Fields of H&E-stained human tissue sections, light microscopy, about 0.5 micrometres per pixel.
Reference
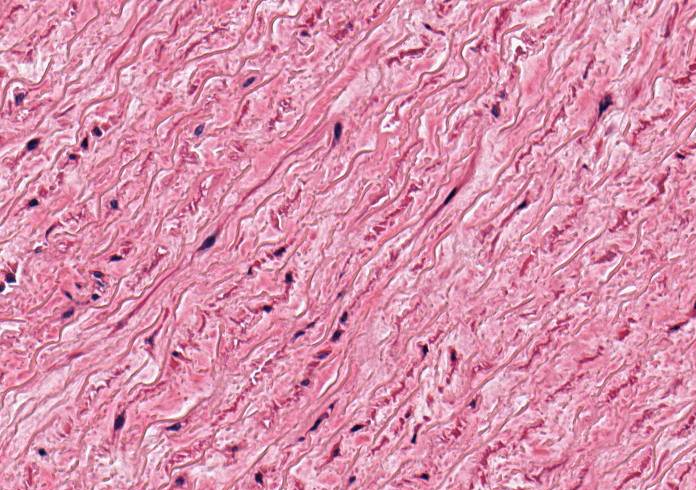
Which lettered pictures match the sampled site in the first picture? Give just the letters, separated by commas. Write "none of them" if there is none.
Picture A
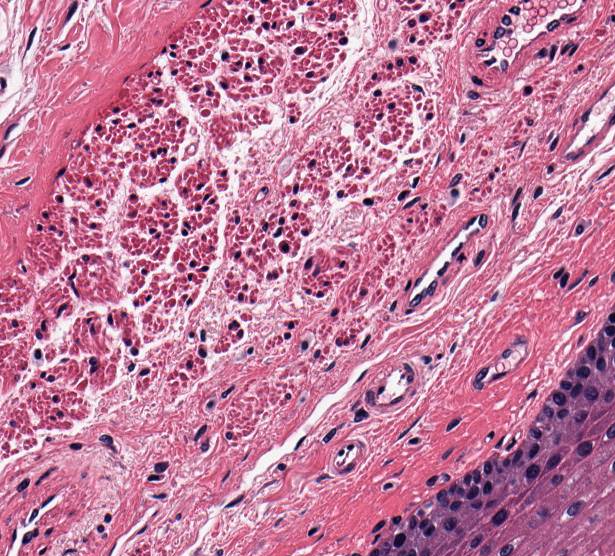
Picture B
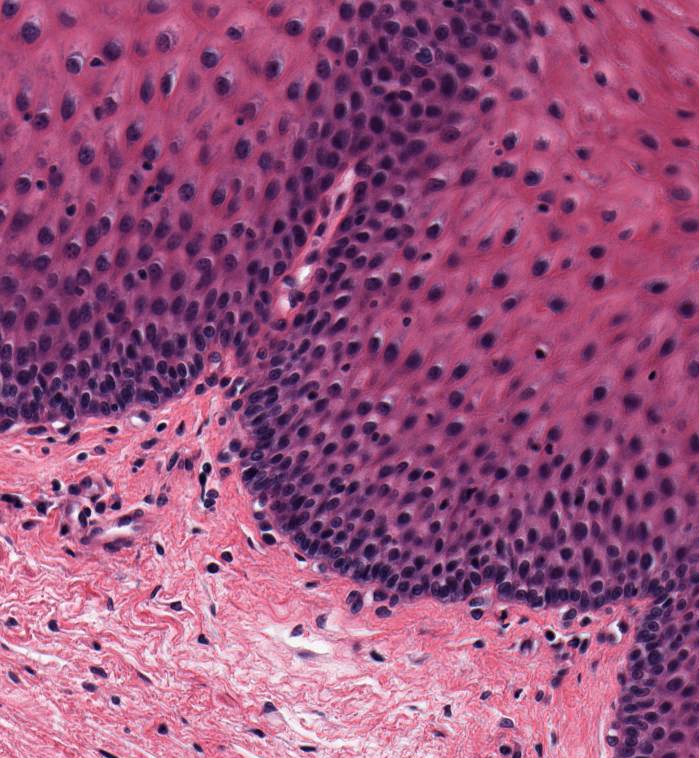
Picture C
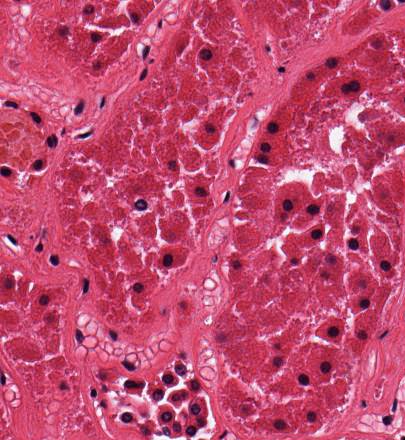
none of them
